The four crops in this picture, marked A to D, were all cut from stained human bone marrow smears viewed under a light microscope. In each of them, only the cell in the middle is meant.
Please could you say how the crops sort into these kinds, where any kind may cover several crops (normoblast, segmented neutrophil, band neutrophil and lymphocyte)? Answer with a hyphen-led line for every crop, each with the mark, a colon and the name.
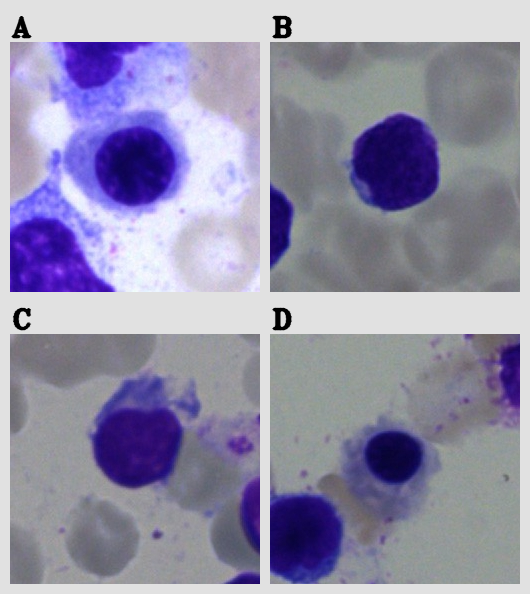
- A: normoblast
- B: lymphocyte
- C: lymphocyte
- D: normoblast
